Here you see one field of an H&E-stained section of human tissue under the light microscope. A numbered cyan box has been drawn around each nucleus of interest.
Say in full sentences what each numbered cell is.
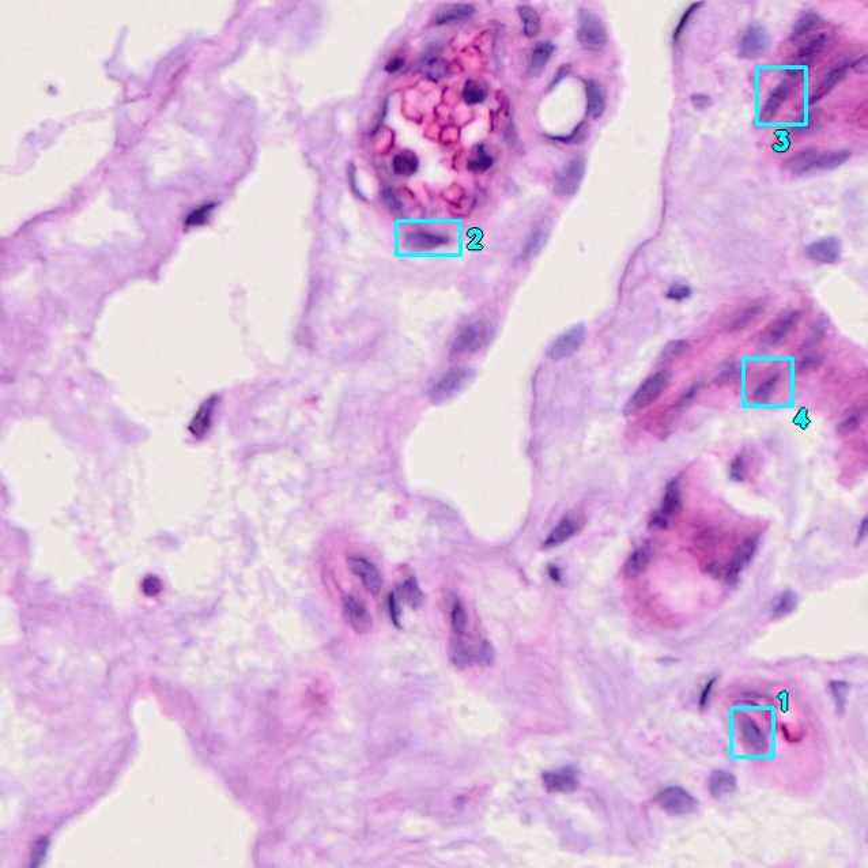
Cell 1 is an endothelial cell, cell 2 is a fibroblast, cell 3 is a smooth muscle cell and cell 4 is a smooth muscle cell.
